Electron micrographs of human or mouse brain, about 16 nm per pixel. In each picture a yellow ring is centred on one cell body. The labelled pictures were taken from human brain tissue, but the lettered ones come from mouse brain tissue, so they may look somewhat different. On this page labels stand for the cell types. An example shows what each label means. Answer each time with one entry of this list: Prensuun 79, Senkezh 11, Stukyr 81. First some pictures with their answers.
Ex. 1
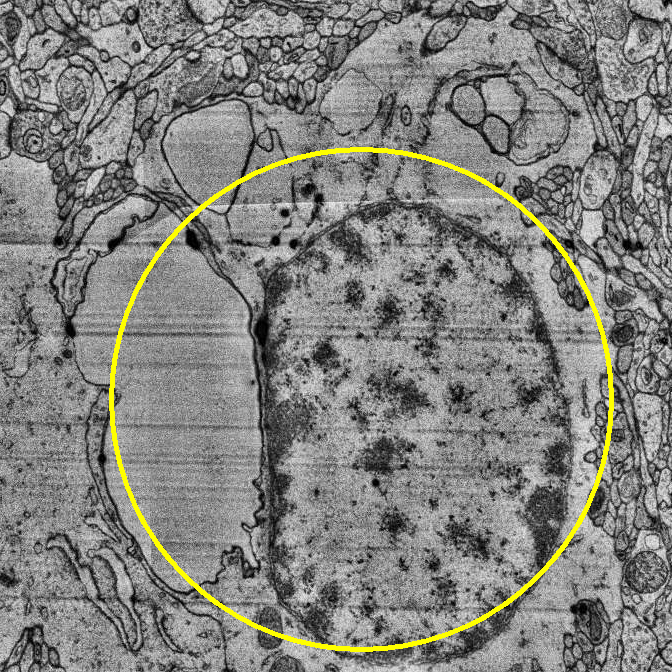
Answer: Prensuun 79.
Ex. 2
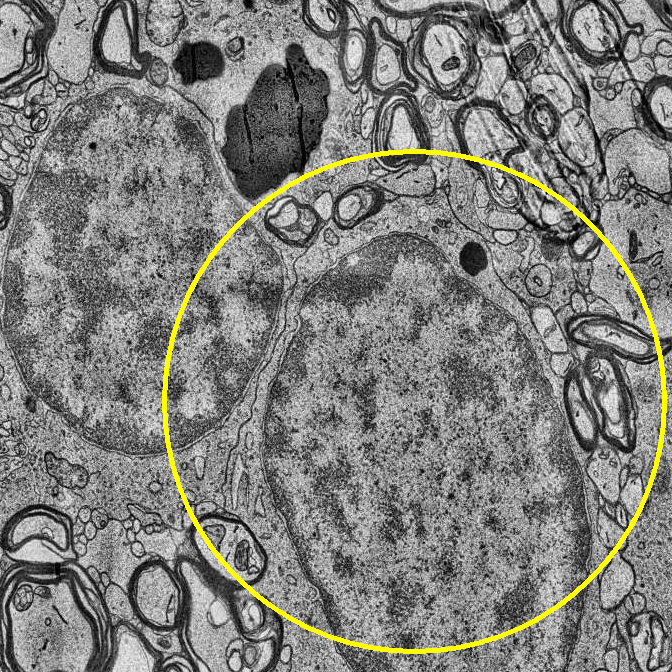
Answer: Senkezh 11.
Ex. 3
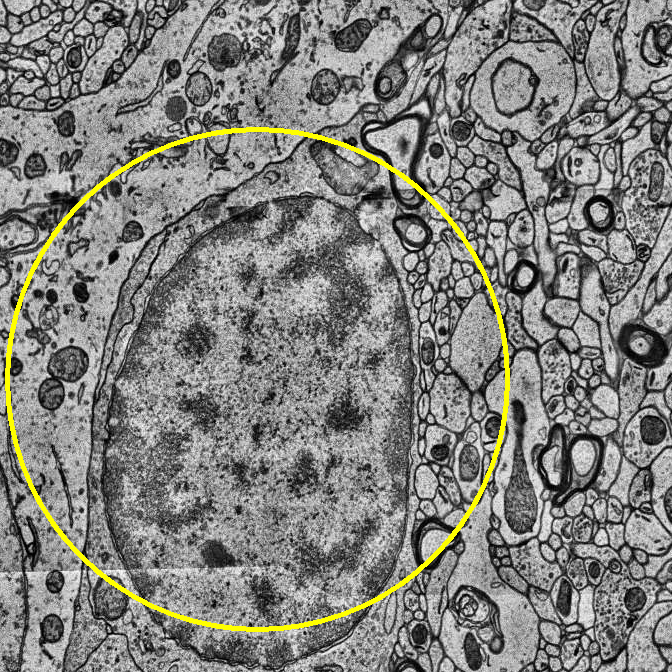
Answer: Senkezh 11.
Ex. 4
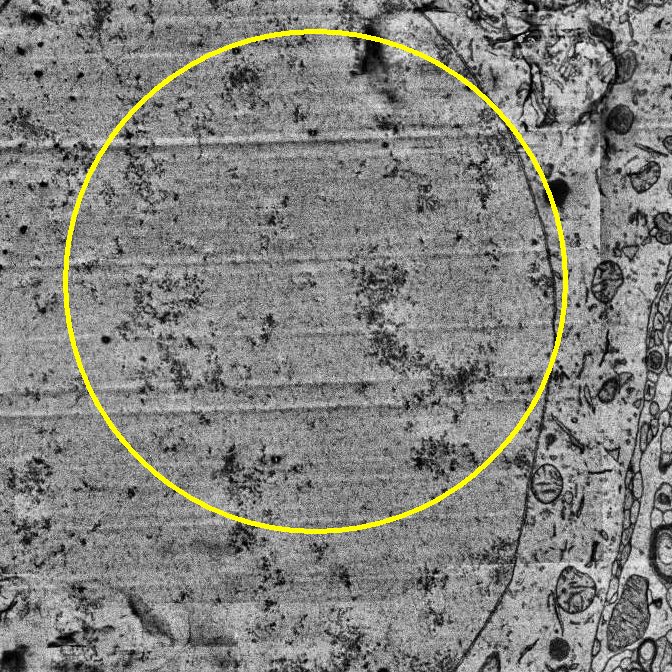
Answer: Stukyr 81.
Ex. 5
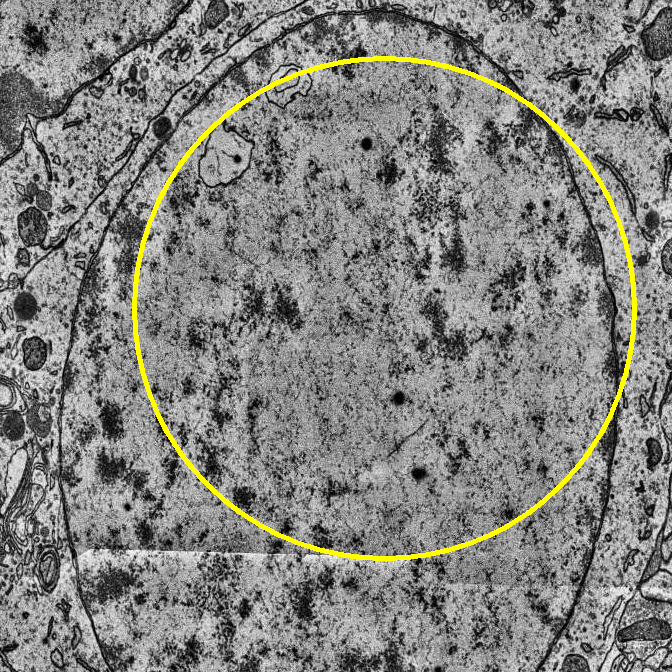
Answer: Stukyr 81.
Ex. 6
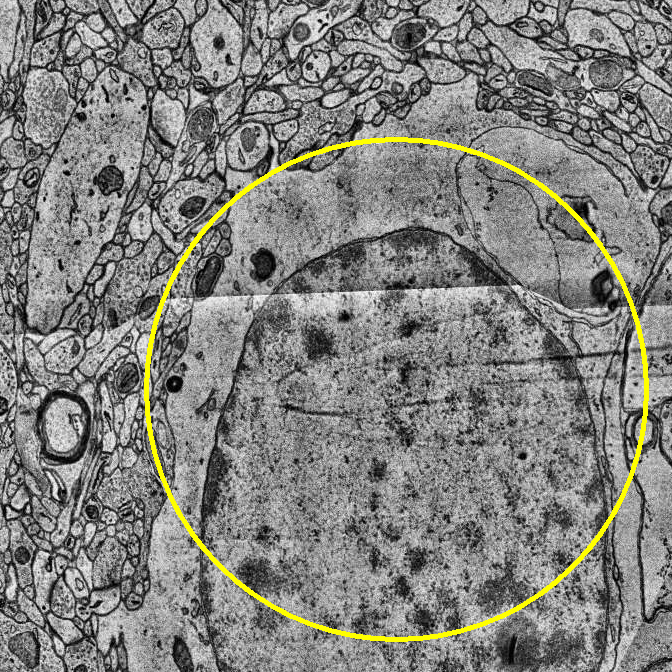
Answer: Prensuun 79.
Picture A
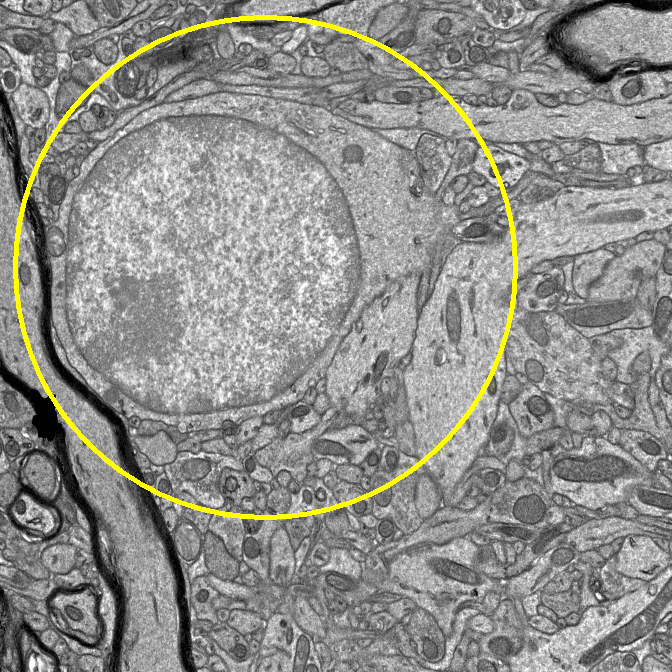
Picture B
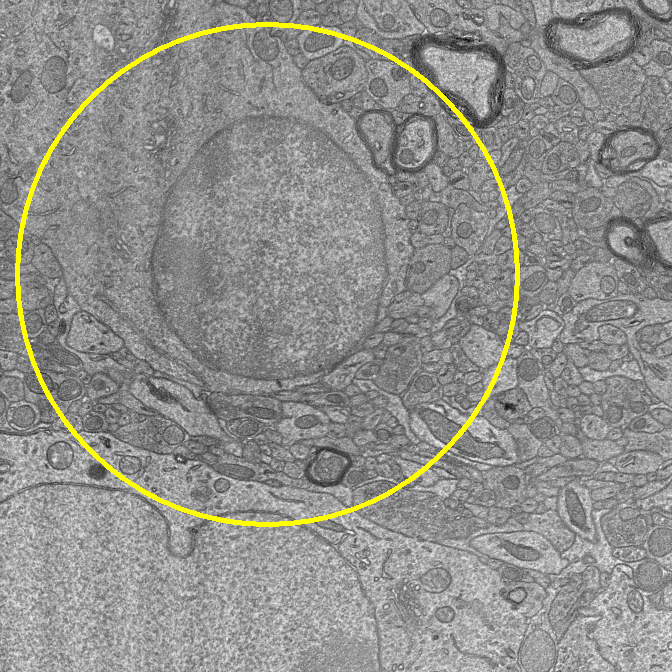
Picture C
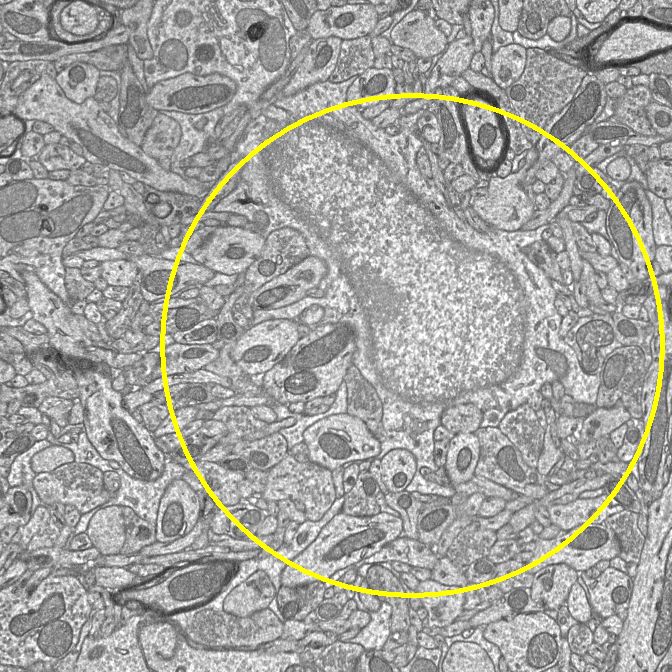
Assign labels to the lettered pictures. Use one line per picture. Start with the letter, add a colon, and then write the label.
A: Senkezh 11.
B: Senkezh 11.
C: Prensuun 79.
